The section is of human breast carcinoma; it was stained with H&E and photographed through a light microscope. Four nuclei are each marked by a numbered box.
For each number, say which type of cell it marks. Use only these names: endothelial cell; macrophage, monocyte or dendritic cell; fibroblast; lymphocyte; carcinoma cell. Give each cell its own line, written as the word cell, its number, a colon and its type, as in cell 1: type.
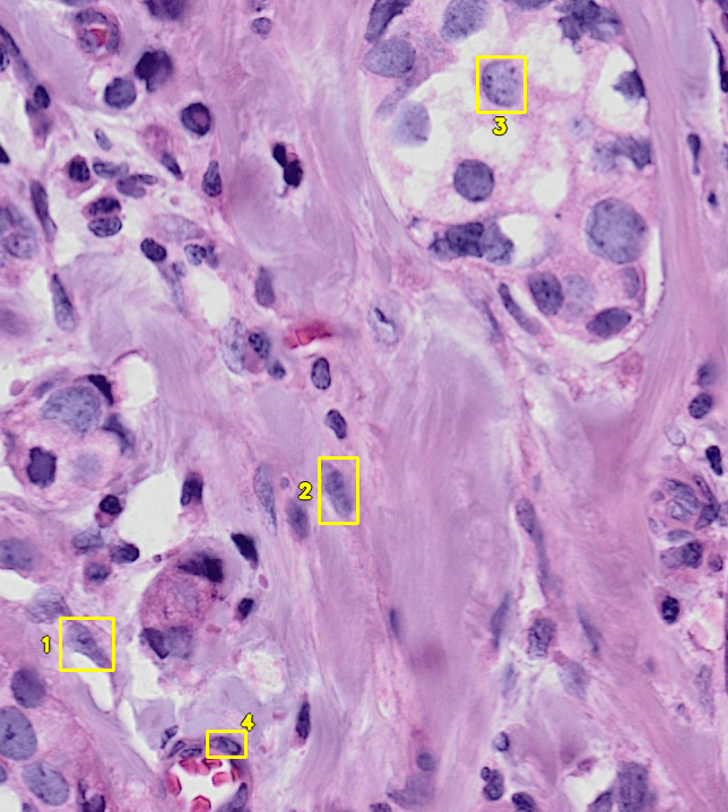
cell 1: fibroblast
cell 2: fibroblast
cell 3: carcinoma cell
cell 4: endothelial cell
